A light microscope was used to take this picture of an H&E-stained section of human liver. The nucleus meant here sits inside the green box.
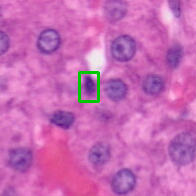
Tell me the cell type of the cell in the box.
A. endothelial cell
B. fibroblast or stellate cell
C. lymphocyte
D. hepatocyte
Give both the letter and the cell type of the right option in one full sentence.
Hey, it is option B: the cell in the box is a fibroblast or stellate cell.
